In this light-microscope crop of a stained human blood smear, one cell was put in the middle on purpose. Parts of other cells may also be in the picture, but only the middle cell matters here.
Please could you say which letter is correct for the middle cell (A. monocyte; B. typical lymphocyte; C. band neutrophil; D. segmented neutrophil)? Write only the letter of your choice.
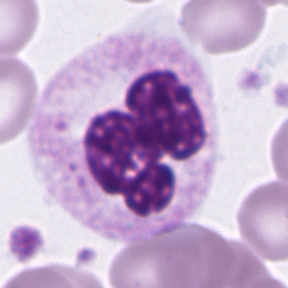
D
